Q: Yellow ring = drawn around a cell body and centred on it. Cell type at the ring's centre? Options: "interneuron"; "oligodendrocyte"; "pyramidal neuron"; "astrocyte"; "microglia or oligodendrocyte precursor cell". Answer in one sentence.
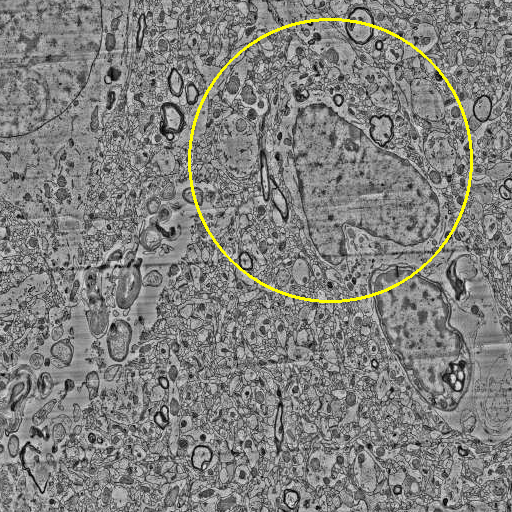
Centred in the ring is a microglial cell or oligodendrocyte precursor cell.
